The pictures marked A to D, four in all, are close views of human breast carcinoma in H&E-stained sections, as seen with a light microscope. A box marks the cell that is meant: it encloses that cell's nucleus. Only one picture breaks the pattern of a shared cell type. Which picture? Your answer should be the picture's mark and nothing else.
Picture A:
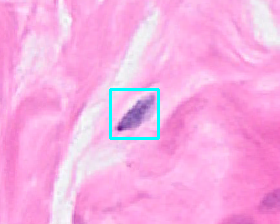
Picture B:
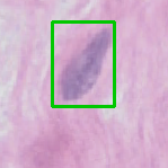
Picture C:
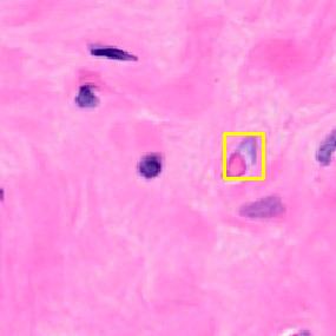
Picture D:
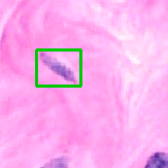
C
